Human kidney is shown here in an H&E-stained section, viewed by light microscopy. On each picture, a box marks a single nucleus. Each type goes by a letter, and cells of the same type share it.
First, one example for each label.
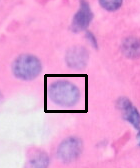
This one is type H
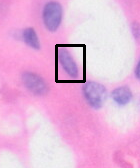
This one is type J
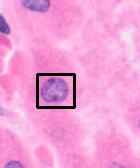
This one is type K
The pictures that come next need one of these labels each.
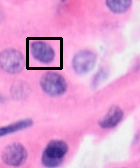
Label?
type H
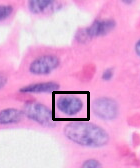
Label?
type J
